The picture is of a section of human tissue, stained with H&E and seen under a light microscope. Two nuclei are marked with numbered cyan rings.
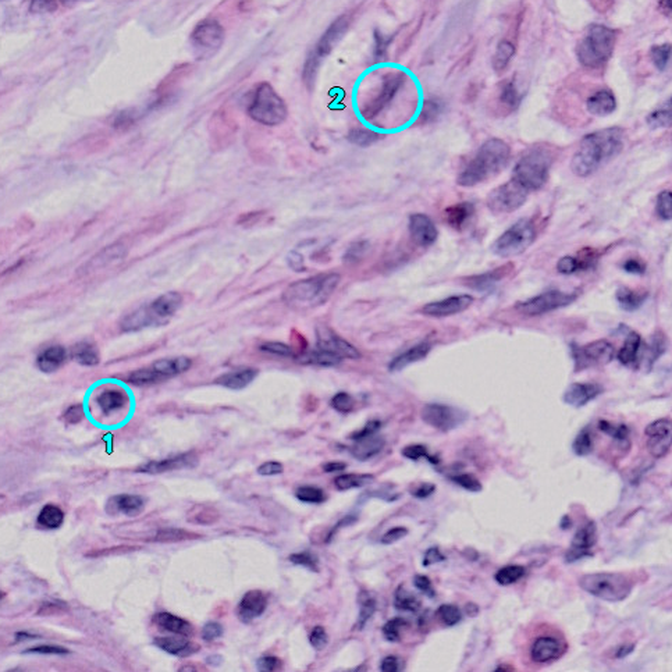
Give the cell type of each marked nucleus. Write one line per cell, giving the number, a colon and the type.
1: lymphocyte
2: fibroblast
